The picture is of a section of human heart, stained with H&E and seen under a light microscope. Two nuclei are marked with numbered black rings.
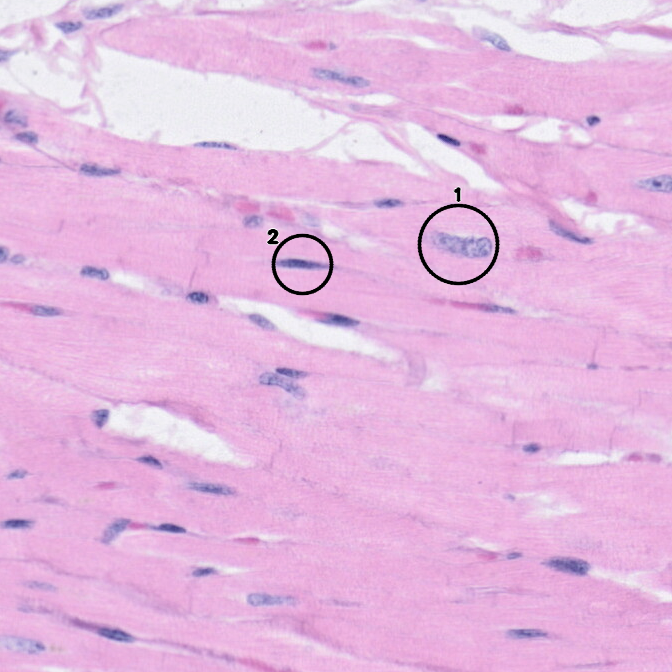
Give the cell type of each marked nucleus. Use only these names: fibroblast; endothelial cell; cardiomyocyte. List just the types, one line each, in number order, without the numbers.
cardiomyocyte
endothelial cell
